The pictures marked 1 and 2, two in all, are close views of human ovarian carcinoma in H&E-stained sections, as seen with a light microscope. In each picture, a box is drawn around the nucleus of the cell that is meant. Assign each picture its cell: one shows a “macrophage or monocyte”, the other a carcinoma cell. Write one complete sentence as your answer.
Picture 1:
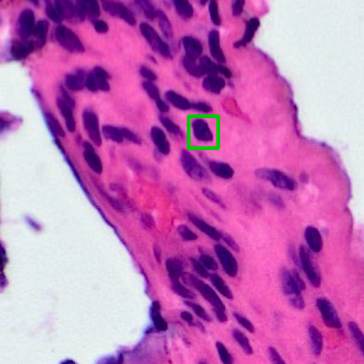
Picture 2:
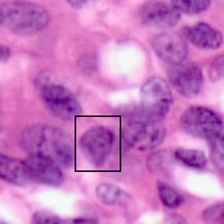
Picture 2 shows a carcinoma cell, while picture 1 shows a “macrophage or monocyte”.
